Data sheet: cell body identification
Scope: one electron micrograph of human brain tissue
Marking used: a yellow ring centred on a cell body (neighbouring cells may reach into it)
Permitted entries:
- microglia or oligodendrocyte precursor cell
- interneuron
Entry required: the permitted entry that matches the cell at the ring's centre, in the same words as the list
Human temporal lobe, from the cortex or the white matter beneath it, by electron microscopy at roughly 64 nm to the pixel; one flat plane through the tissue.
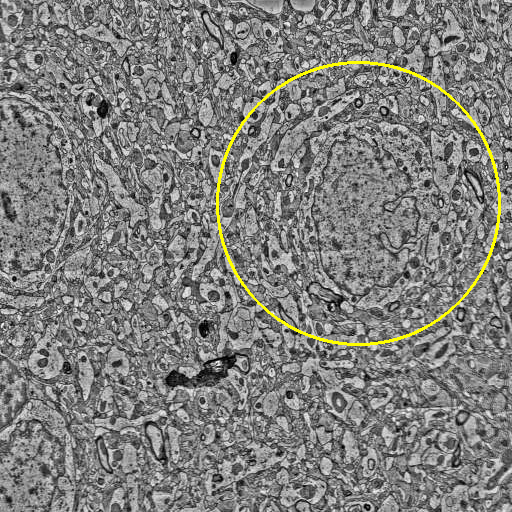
interneuron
